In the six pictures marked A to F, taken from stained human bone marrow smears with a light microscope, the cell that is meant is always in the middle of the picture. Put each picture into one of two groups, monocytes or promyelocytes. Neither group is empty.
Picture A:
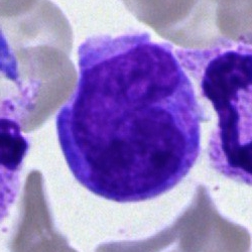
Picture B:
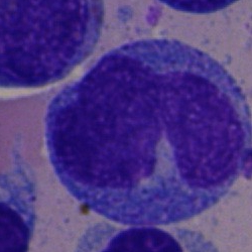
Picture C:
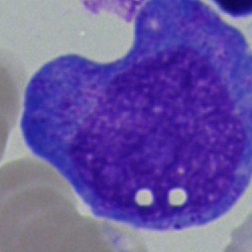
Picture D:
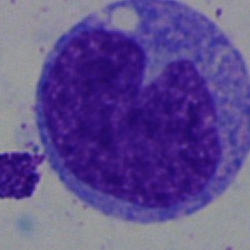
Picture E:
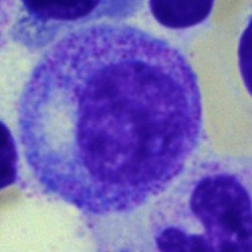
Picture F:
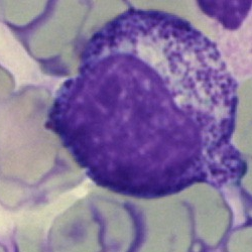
A: monocyte
B: monocyte
C: promyelocyte
D: monocyte
E: promyelocyte
F: promyelocyte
